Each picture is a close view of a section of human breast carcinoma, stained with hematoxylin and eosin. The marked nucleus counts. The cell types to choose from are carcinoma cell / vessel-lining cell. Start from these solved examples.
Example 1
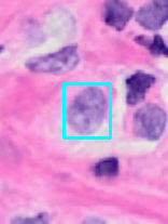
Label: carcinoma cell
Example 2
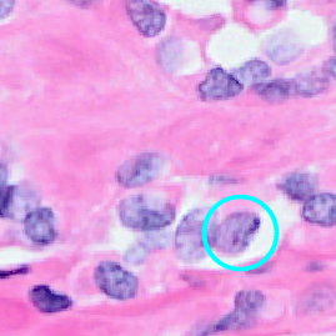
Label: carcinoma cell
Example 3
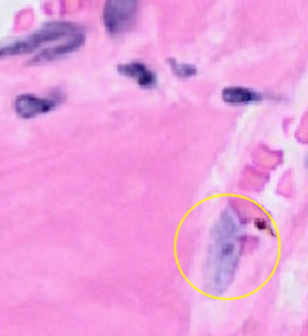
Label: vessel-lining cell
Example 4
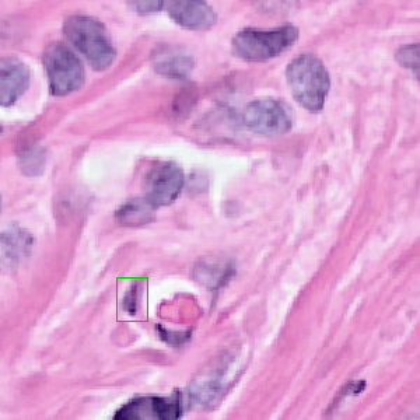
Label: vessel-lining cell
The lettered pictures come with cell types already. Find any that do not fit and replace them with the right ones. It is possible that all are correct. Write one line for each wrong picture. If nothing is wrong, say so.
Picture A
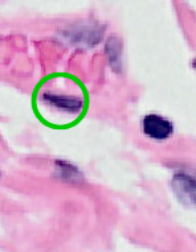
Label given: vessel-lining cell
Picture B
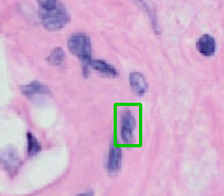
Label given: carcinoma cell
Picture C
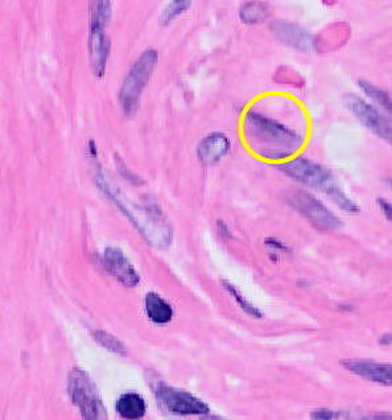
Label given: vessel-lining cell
Wrong: B (carcinoma cell); correct: vessel-lining cell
